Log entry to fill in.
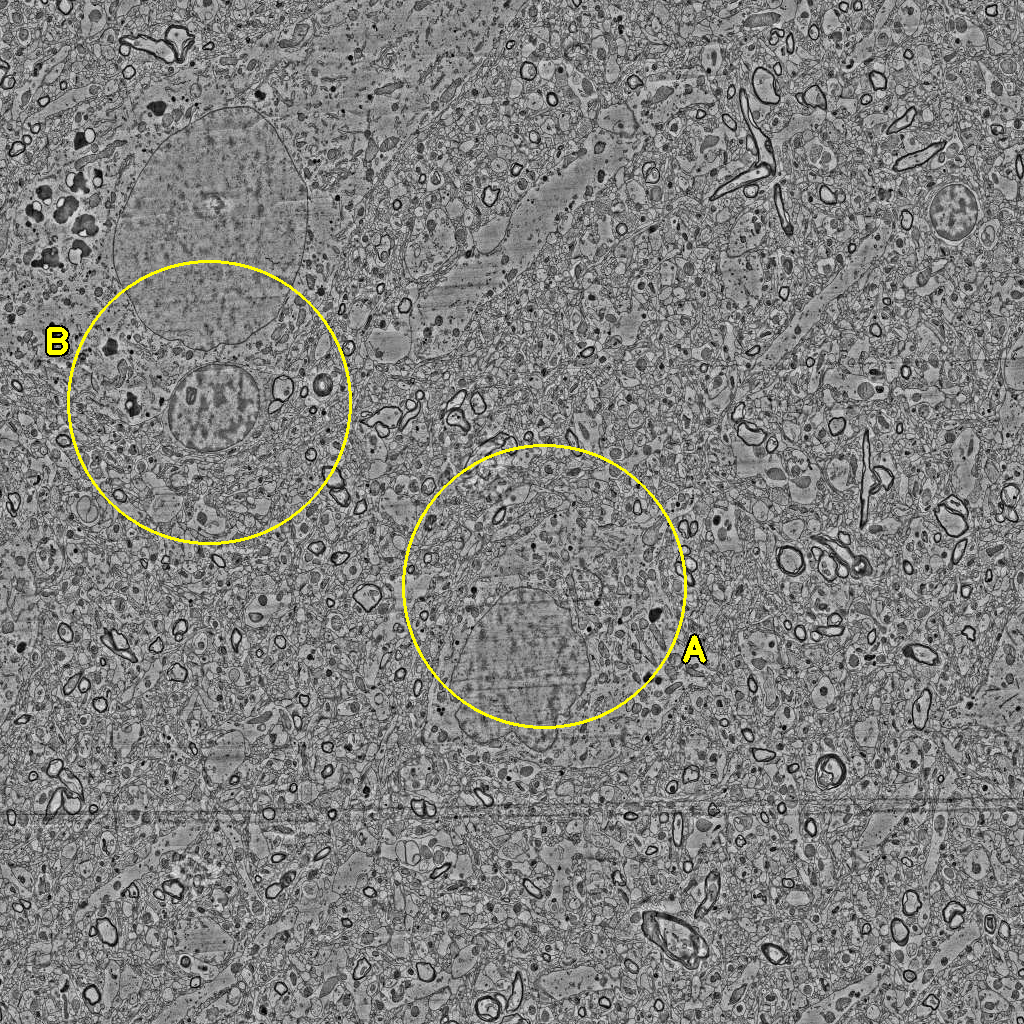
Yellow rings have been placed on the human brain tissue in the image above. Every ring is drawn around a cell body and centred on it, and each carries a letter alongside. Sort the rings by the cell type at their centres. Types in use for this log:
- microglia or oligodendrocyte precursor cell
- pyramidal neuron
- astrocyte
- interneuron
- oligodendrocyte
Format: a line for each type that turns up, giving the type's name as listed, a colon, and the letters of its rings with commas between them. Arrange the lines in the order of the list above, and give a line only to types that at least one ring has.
interneuron: A
oligodendrocyte: B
